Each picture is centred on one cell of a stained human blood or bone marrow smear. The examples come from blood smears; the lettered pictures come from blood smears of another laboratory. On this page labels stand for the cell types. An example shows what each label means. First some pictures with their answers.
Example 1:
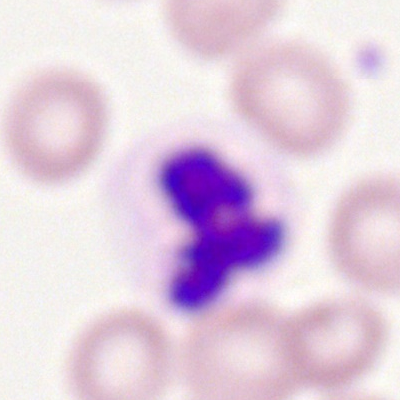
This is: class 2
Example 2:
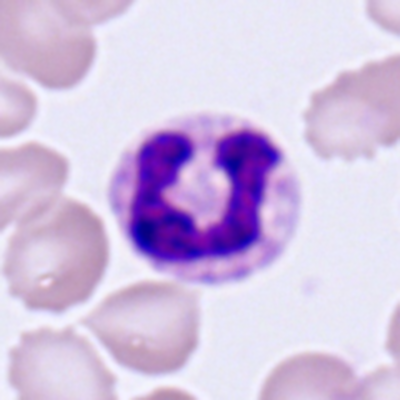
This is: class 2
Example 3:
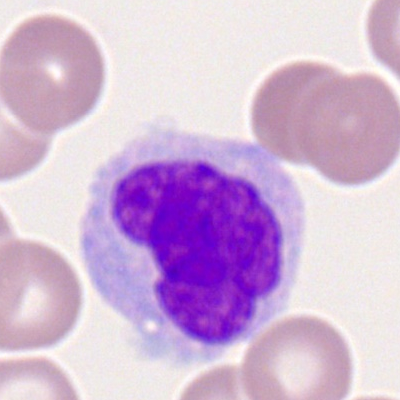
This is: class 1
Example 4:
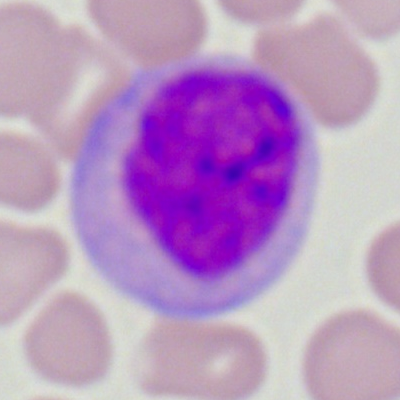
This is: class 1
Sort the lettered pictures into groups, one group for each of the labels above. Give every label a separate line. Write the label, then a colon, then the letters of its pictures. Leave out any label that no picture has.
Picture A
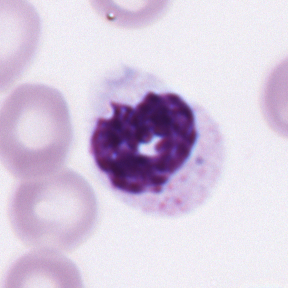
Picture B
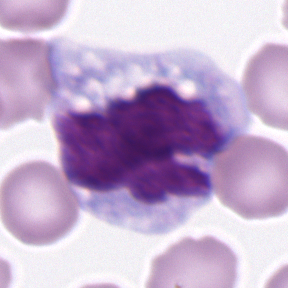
class 2: A
class 1: B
